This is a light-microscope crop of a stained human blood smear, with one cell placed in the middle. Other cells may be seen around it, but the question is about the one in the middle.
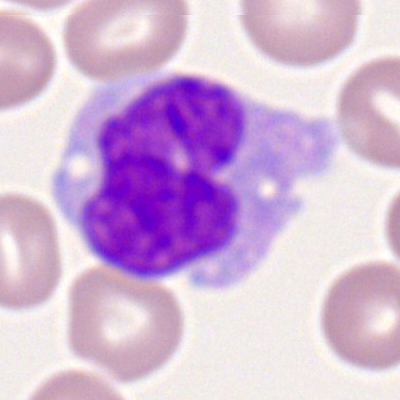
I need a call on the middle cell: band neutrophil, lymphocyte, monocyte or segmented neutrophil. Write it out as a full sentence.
The target cell in the middle of the crop is a monocyte.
